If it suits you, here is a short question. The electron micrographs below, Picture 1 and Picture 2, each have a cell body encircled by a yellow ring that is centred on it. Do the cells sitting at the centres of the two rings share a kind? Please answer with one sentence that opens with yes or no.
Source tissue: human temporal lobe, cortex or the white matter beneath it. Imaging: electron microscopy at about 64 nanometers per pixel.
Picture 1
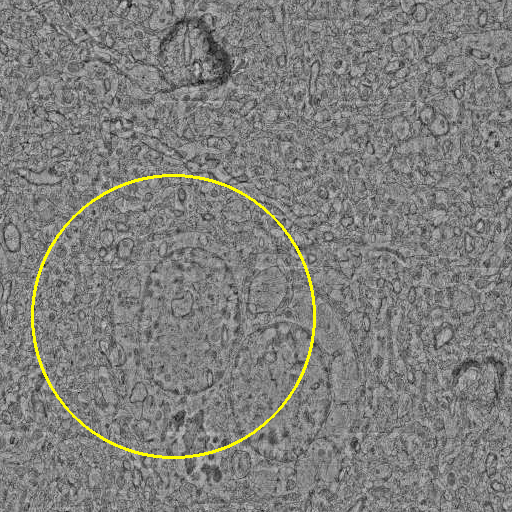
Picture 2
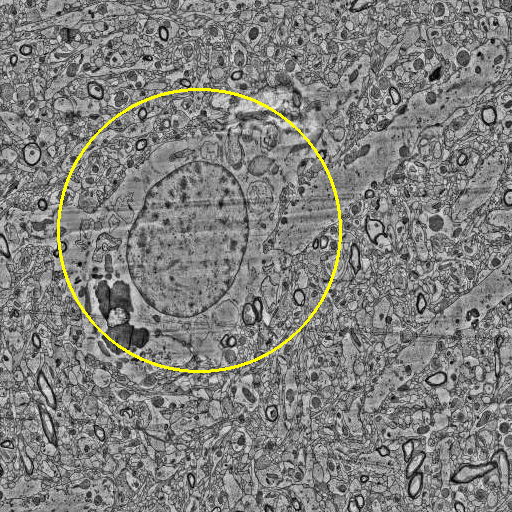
Yes, the two cells sitting at the ring centres share a single kind.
